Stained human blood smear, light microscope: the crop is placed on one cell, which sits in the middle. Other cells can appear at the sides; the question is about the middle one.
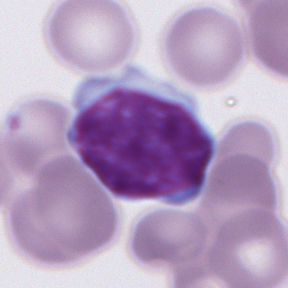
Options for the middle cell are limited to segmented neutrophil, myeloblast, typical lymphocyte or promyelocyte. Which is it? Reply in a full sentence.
The crop shows a typical lymphocyte in its centre.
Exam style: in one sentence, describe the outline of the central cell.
This cell does not have a smooth edge; it is ragged or extended into projections.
